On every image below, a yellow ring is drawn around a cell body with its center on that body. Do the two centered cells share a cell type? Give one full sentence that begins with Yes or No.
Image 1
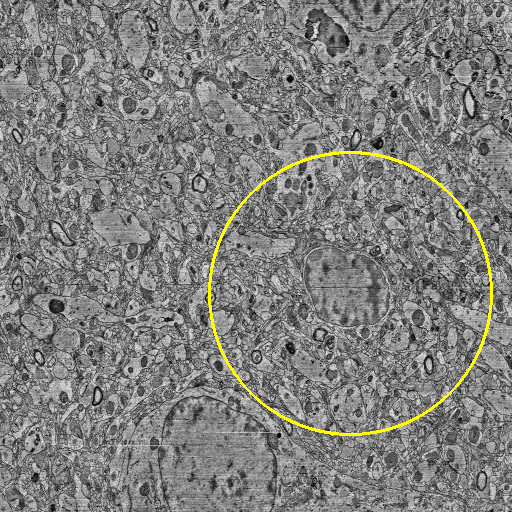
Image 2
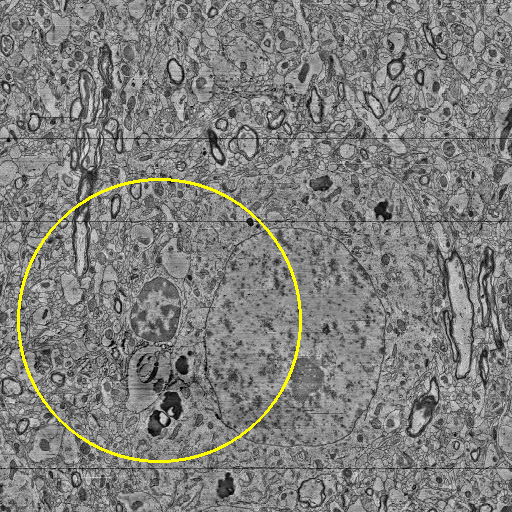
Yes, the centered cells in the two images are of a single cell type.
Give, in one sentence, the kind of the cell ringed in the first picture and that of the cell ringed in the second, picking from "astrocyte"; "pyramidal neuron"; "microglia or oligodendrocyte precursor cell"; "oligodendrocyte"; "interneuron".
In both pictures the ring is centred on a microglial cell or oligodendrocyte precursor cell.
